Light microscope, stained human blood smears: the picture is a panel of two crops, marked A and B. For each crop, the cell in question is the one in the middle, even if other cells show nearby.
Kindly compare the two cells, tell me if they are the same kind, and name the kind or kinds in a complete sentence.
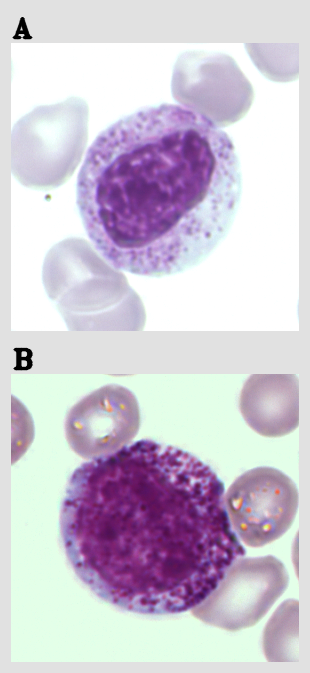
Yes, both crops have myelocytes at the centre.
